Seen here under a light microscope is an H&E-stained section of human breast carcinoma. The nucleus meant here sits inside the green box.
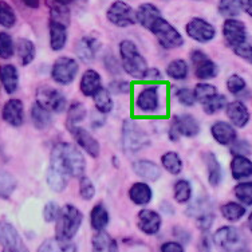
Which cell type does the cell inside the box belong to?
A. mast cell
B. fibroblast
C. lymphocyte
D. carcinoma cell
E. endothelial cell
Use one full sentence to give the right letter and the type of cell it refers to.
Option C is accurate, for the cell inside the box is a lymphocyte.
